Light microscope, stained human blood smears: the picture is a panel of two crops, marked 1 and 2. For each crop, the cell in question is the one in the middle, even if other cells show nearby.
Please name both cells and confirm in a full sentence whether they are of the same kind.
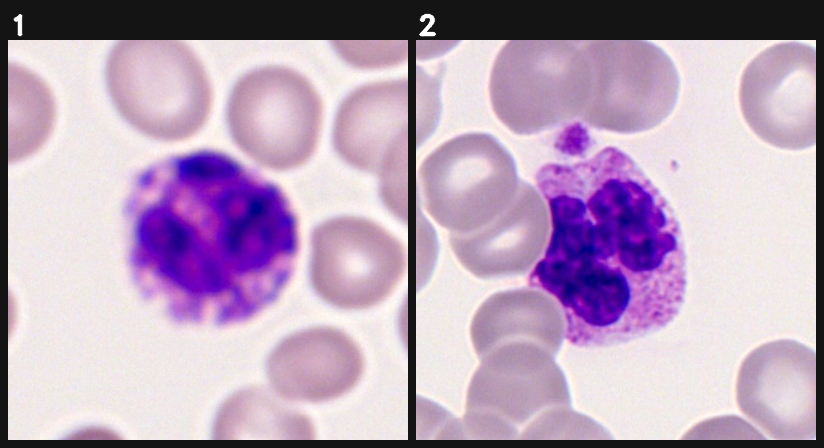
Yes, as for both crops, the cells shown are basophils.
